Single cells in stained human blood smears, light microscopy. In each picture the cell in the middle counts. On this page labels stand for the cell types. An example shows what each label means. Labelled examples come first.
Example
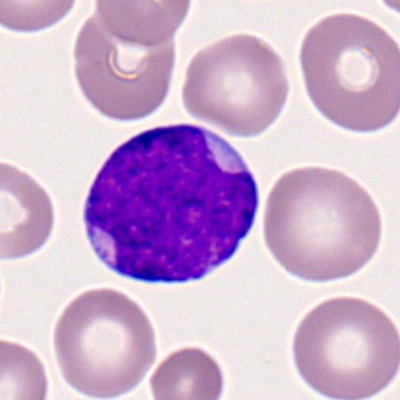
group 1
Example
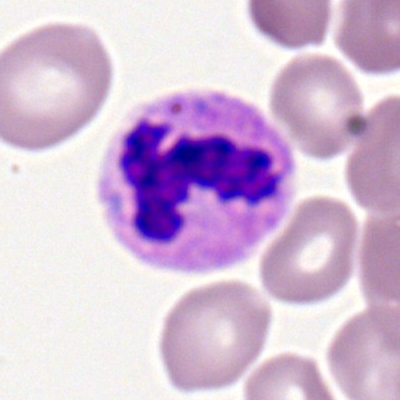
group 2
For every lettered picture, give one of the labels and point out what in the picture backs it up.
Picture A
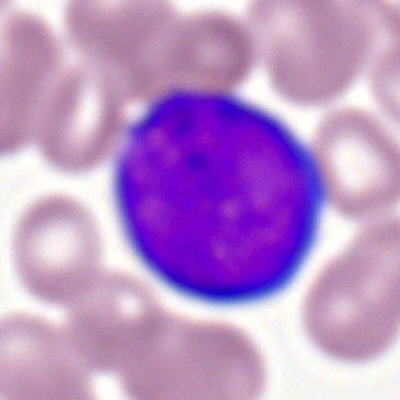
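group 1: The cytoplasm is only a very thin rim around the nucleus.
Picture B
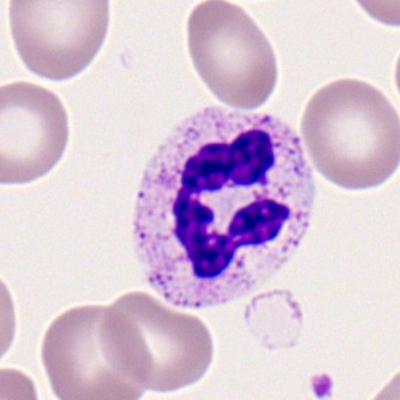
group 2: The nucleus is a curved, constricted band bent into a C-shape that opens towards the right.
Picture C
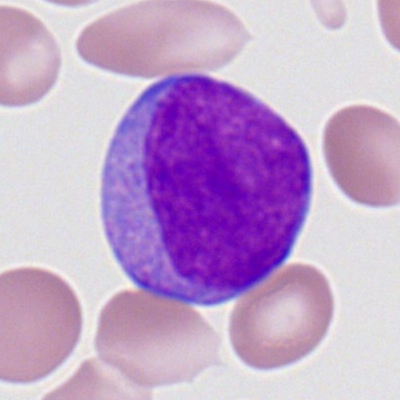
group 1: The cytoplasm is blue, deepest along the outer rim.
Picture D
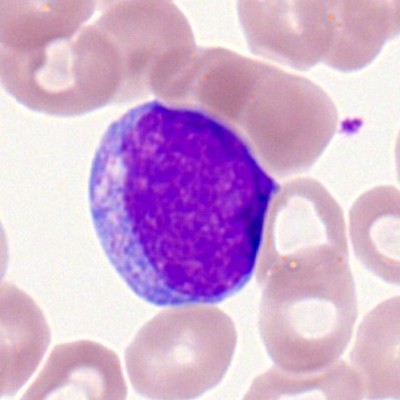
group 1: The nucleus fills most of the cell.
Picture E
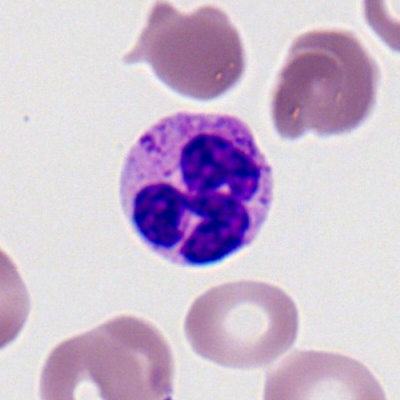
group 2: The nucleus is divided into three lobes.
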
